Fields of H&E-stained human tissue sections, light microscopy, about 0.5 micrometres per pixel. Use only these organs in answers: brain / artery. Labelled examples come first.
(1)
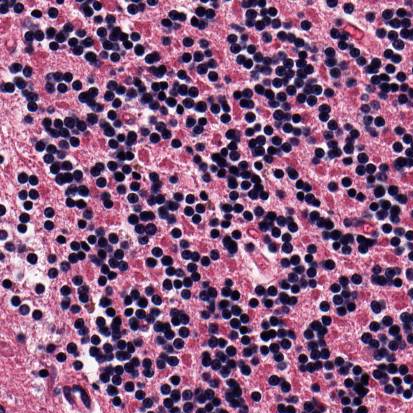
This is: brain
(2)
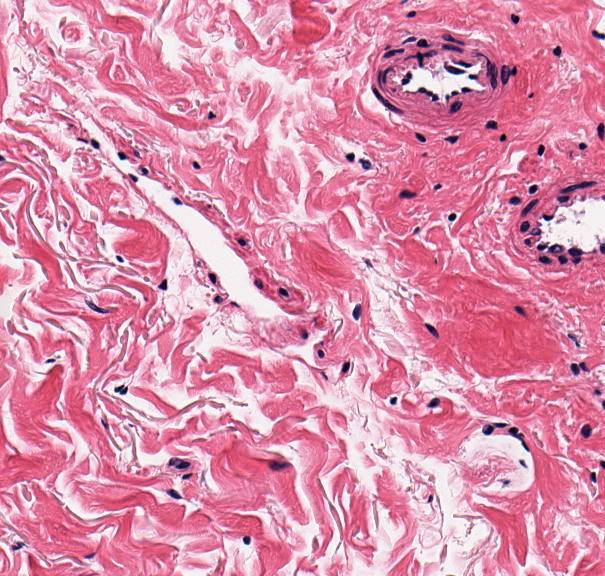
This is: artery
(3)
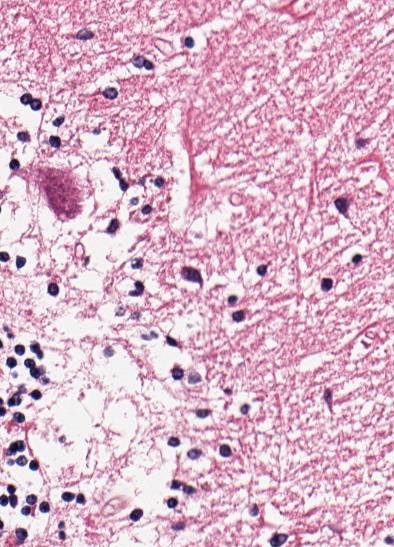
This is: brain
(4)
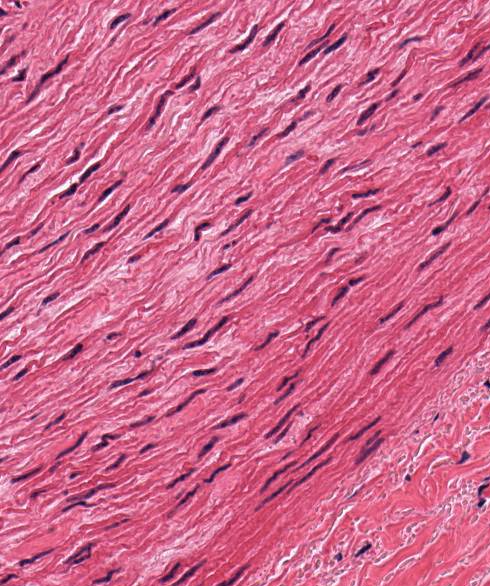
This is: artery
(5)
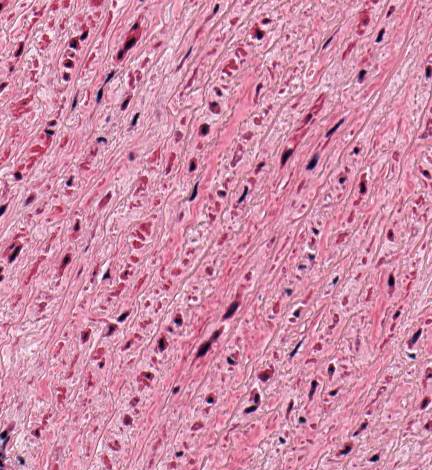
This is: artery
